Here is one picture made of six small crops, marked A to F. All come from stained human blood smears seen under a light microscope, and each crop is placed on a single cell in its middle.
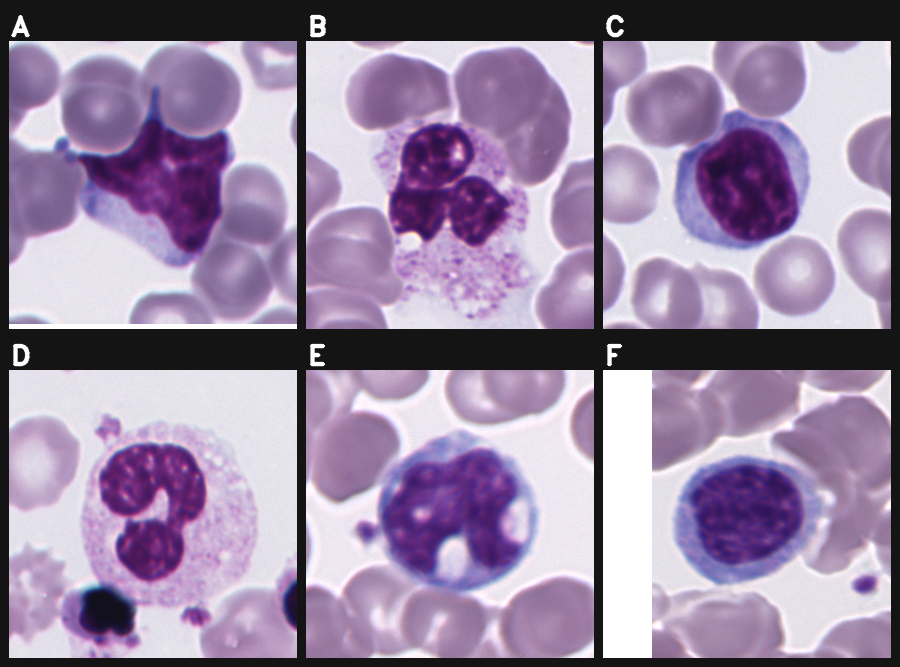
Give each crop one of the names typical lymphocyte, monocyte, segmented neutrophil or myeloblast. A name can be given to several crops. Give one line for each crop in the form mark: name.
A: typical lymphocyte
B: segmented neutrophil
C: typical lymphocyte
D: segmented neutrophil
E: monocyte
F: monocyte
